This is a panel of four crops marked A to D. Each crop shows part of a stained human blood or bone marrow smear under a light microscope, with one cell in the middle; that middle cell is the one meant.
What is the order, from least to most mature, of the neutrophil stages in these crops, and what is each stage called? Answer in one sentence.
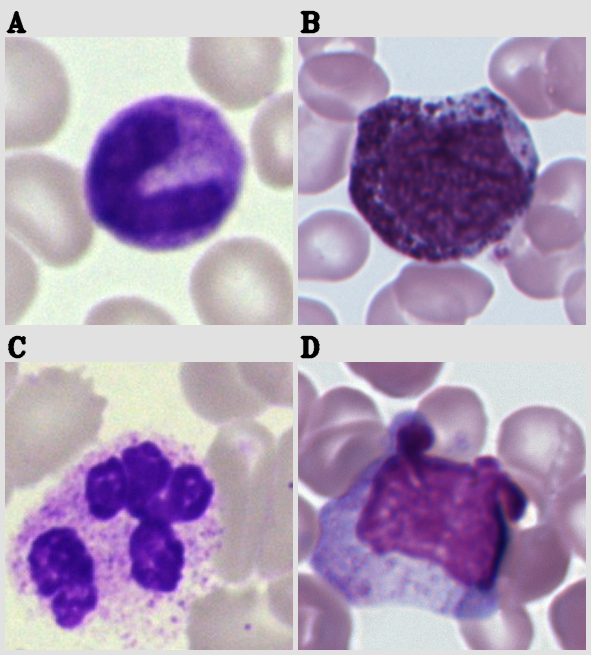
Least to most mature, the crops are crop B (a promyelocyte), crop D (a myelocyte), crop A (a band neutrophil) and crop C (a segmented neutrophil).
